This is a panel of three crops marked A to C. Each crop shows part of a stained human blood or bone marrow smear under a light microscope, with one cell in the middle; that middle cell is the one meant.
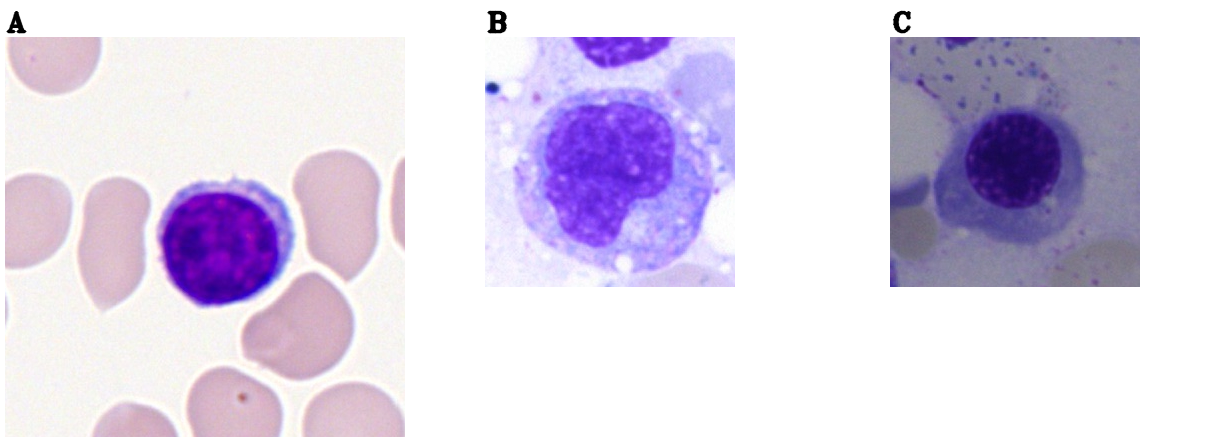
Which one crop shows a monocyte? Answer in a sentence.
So the crop with a monocyte at its center is crop B.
